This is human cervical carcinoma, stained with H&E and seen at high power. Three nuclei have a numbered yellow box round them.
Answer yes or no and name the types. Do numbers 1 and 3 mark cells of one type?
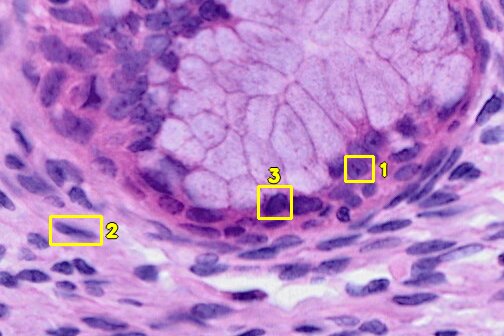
Yes, both are secretory epithelial cells.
